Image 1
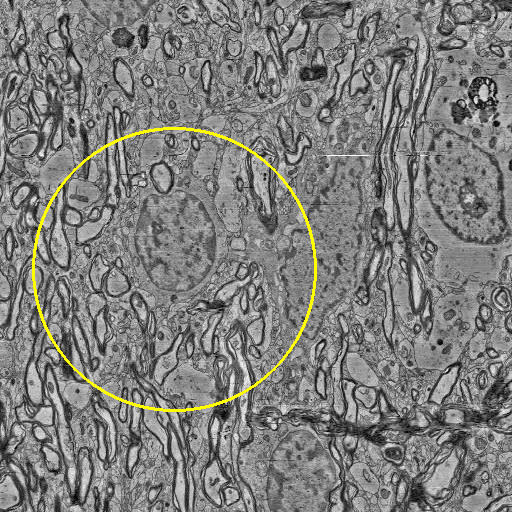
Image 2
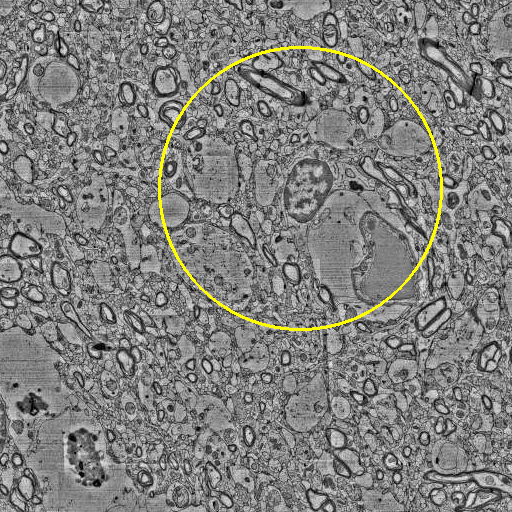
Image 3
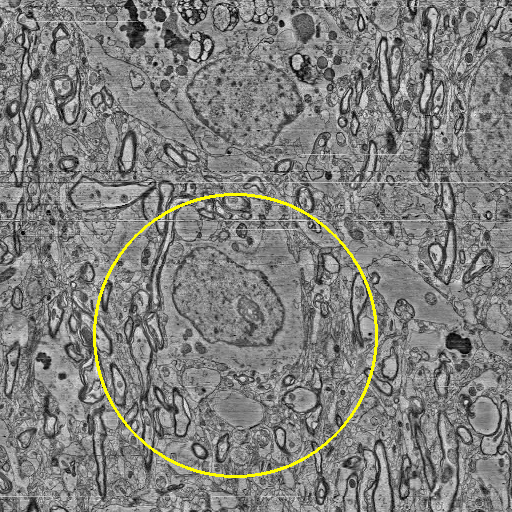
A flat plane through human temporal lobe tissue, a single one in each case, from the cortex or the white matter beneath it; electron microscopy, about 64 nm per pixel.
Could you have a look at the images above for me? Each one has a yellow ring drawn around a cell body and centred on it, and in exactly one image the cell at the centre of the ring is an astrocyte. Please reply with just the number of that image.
3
